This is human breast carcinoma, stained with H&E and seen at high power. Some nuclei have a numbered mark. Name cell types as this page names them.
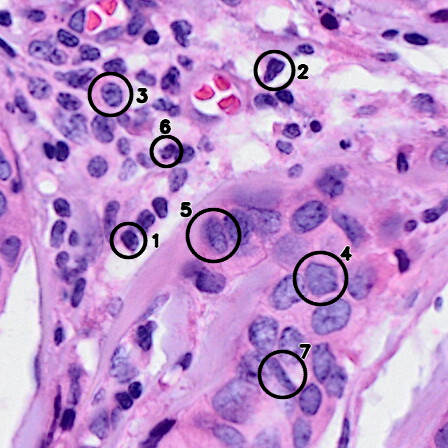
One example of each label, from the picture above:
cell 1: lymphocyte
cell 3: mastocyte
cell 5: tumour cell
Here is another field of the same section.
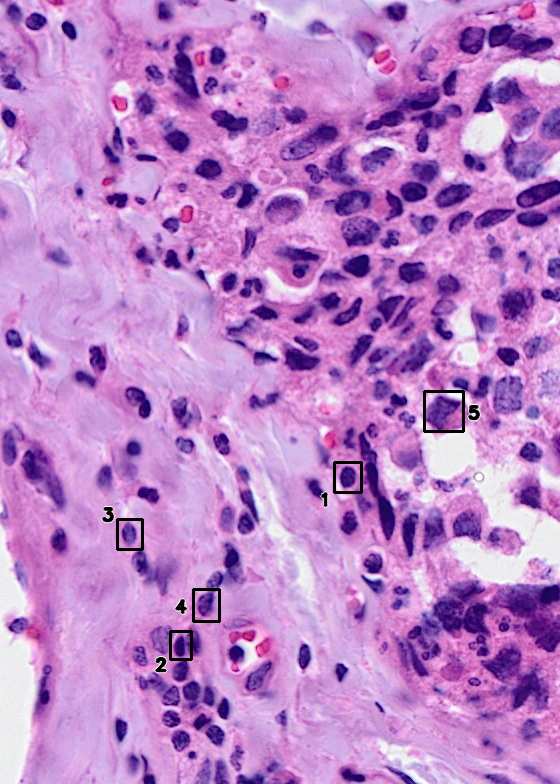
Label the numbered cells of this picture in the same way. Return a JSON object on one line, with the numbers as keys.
{"1": "lymphocyte", "2": "lymphocyte", "3": "mastocyte", "4": "lymphocyte", "5": "tumour cell"}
